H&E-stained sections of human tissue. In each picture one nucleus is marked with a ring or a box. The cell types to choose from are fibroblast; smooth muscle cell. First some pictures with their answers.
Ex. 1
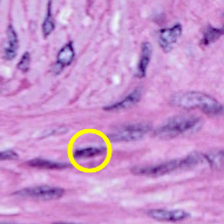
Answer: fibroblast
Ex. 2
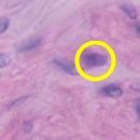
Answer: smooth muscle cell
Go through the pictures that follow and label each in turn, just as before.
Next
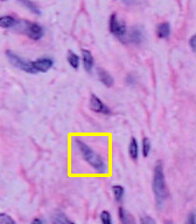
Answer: smooth muscle cell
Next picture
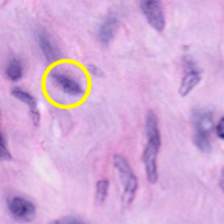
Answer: fibroblast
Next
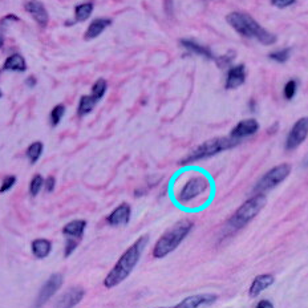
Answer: smooth muscle cell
